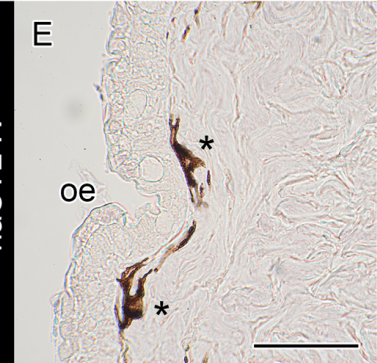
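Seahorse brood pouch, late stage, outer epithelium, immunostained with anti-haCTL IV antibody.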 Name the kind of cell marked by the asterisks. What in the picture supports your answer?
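The asterisks sit beside dark brown, branched cells beneath the epithelium. So: pigment cells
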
